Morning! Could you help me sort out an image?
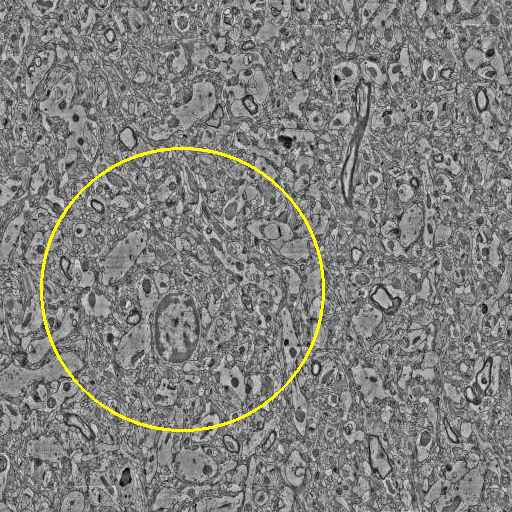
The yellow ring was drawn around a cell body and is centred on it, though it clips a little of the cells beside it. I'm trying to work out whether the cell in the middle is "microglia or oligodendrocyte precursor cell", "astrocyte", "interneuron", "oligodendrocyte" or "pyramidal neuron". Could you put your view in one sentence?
The ringed cell body is that of a microglial cell or oligodendrocyte precursor cell.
